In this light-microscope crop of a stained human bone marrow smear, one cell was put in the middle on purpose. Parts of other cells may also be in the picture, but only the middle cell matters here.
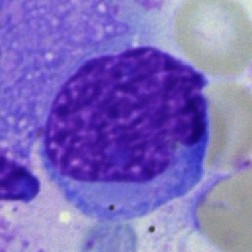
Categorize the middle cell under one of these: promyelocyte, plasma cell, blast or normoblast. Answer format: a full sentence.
The middle position in this crop is taken by a blast.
